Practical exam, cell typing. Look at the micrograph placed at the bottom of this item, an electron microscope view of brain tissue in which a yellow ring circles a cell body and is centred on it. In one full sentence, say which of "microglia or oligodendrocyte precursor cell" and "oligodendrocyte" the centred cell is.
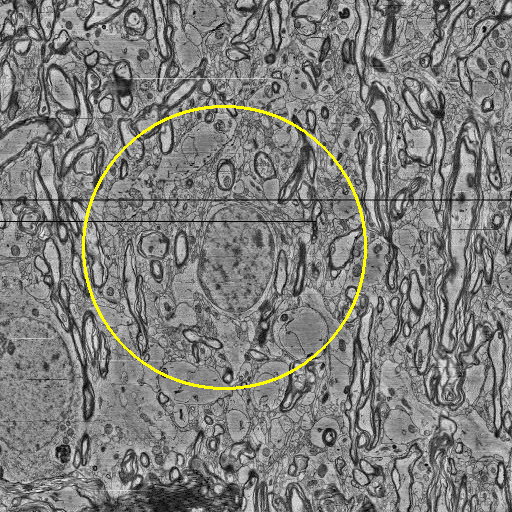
Given the options, a microglial cell or oligodendrocyte precursor cell fits the cell whose body the yellow ring is centred on.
